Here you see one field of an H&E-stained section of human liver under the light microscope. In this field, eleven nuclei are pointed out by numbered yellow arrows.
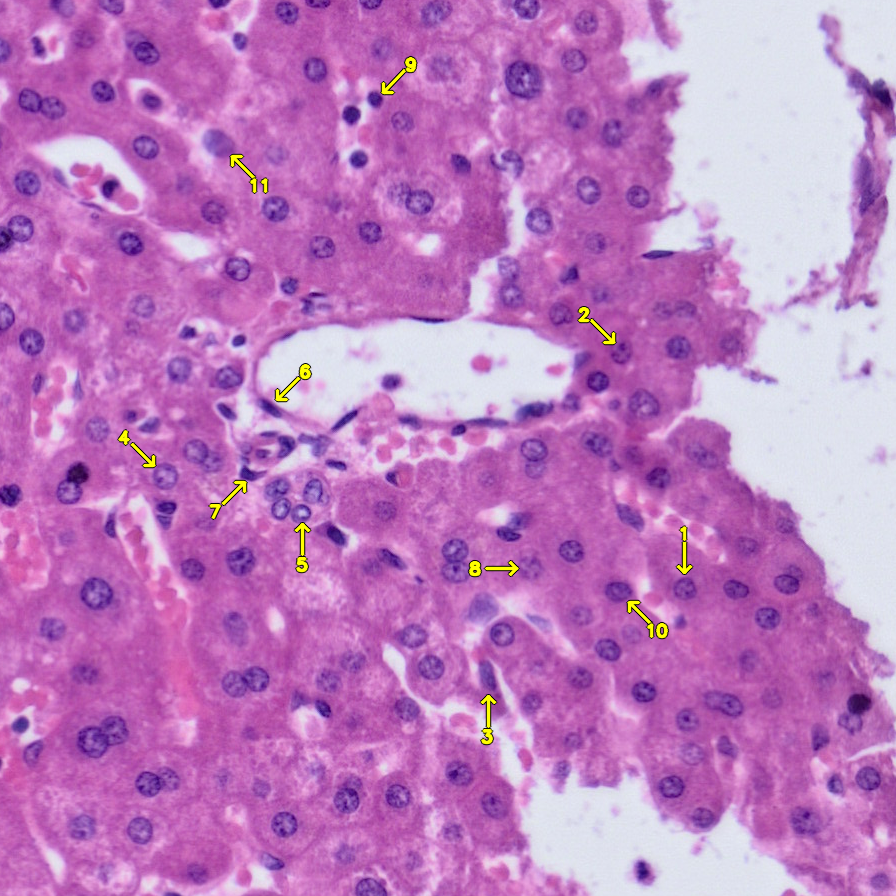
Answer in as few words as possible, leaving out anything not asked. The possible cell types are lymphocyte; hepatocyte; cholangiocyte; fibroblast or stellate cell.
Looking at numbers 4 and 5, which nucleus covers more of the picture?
4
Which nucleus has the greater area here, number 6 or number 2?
2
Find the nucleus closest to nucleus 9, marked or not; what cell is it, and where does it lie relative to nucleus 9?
a lymphocyte; below and to the left of nucleus 9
